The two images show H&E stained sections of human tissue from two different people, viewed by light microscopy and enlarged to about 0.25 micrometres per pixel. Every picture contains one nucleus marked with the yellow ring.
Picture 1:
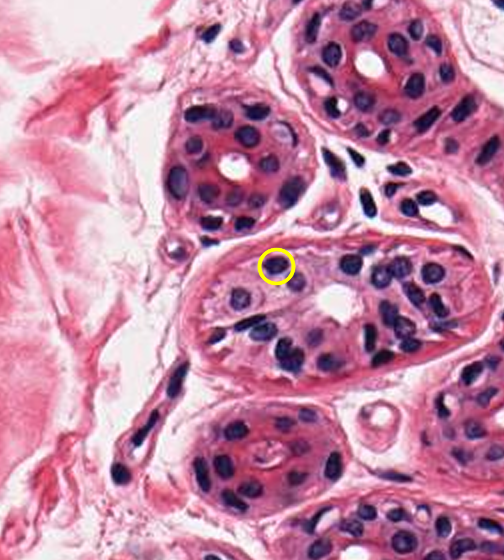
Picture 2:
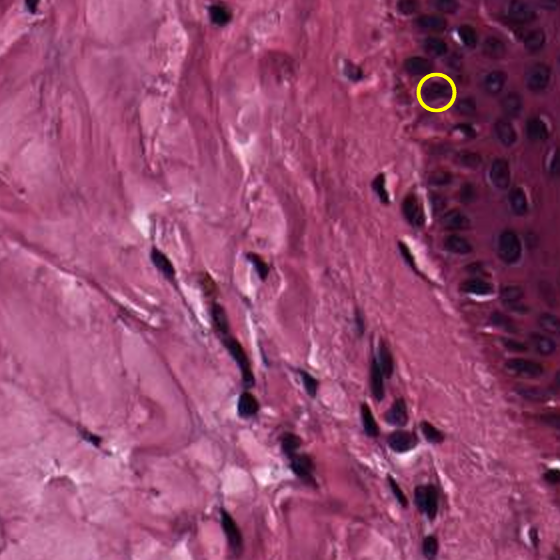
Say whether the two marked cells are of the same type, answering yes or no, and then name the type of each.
No, the first is a sweat gland cell and the second a keratinocyte.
